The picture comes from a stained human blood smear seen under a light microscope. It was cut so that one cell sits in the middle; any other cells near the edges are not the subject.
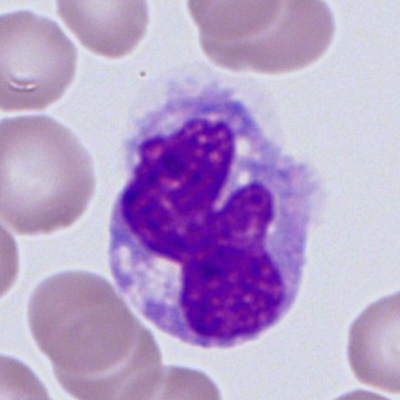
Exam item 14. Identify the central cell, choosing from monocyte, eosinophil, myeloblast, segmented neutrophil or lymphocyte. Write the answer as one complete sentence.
The middle cell in this particular crop is a monocyte.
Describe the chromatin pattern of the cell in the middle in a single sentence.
The chromatin pattern is fine and free of coarse clumps.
